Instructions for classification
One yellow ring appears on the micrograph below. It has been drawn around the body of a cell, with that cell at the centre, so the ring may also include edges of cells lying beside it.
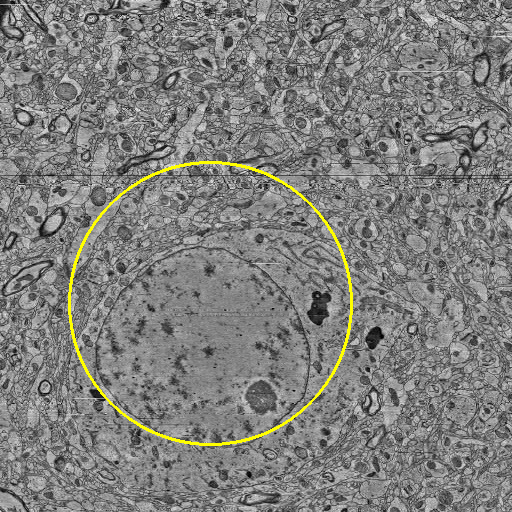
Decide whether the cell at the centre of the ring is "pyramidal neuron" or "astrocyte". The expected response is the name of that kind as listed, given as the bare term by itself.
pyramidal neuron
